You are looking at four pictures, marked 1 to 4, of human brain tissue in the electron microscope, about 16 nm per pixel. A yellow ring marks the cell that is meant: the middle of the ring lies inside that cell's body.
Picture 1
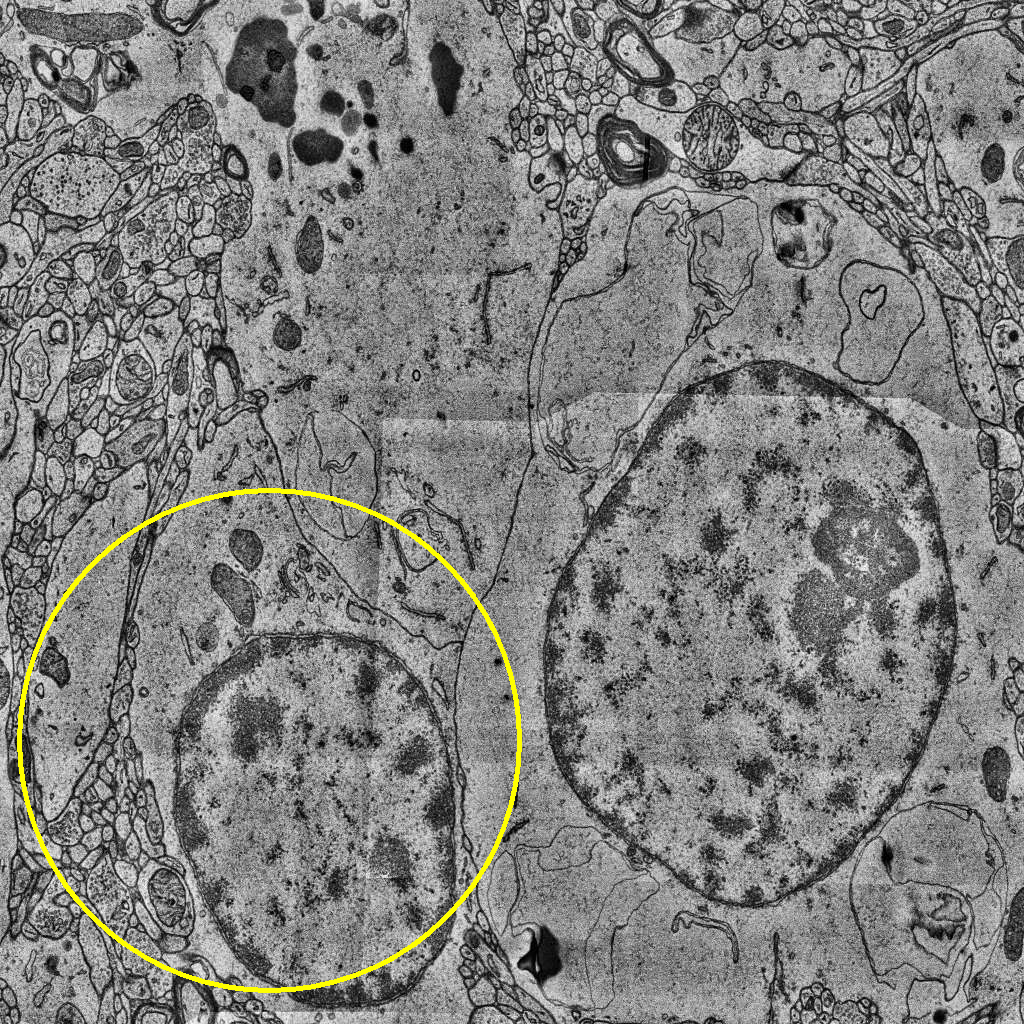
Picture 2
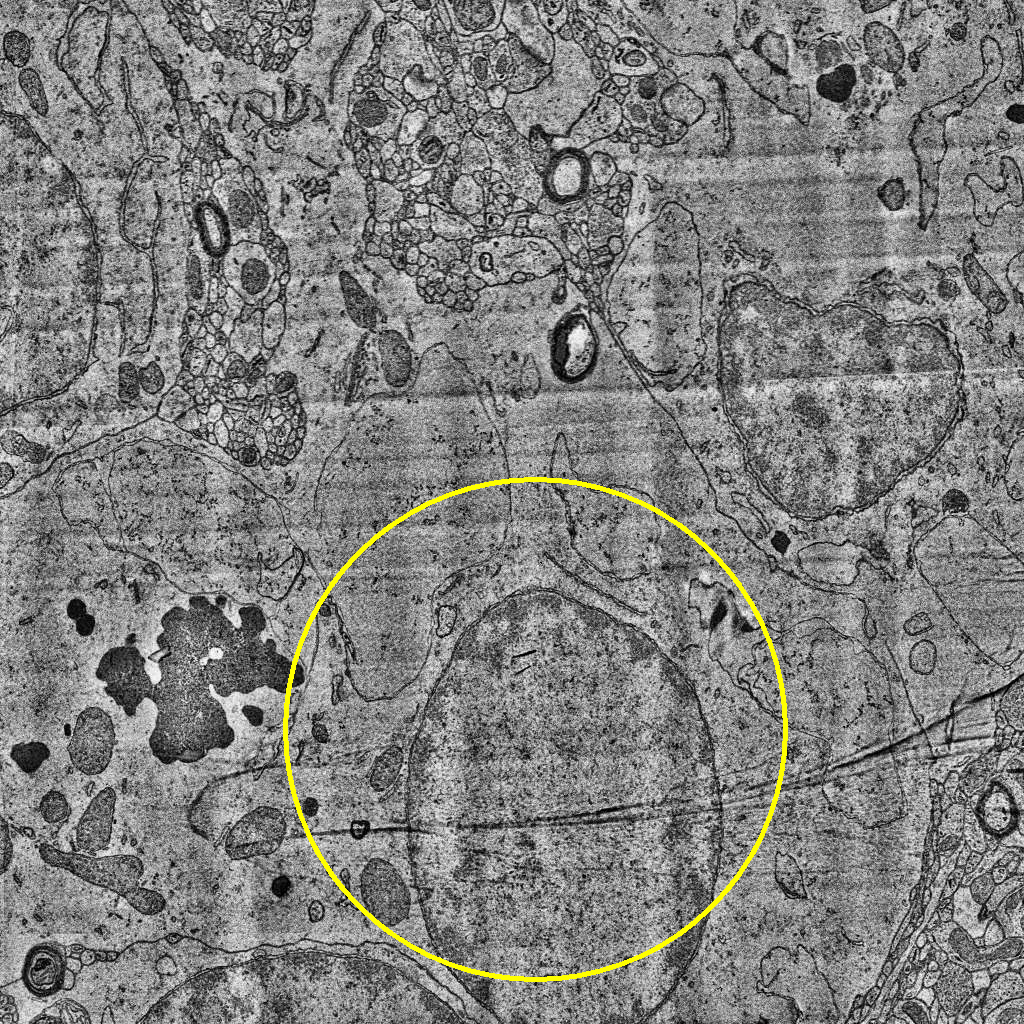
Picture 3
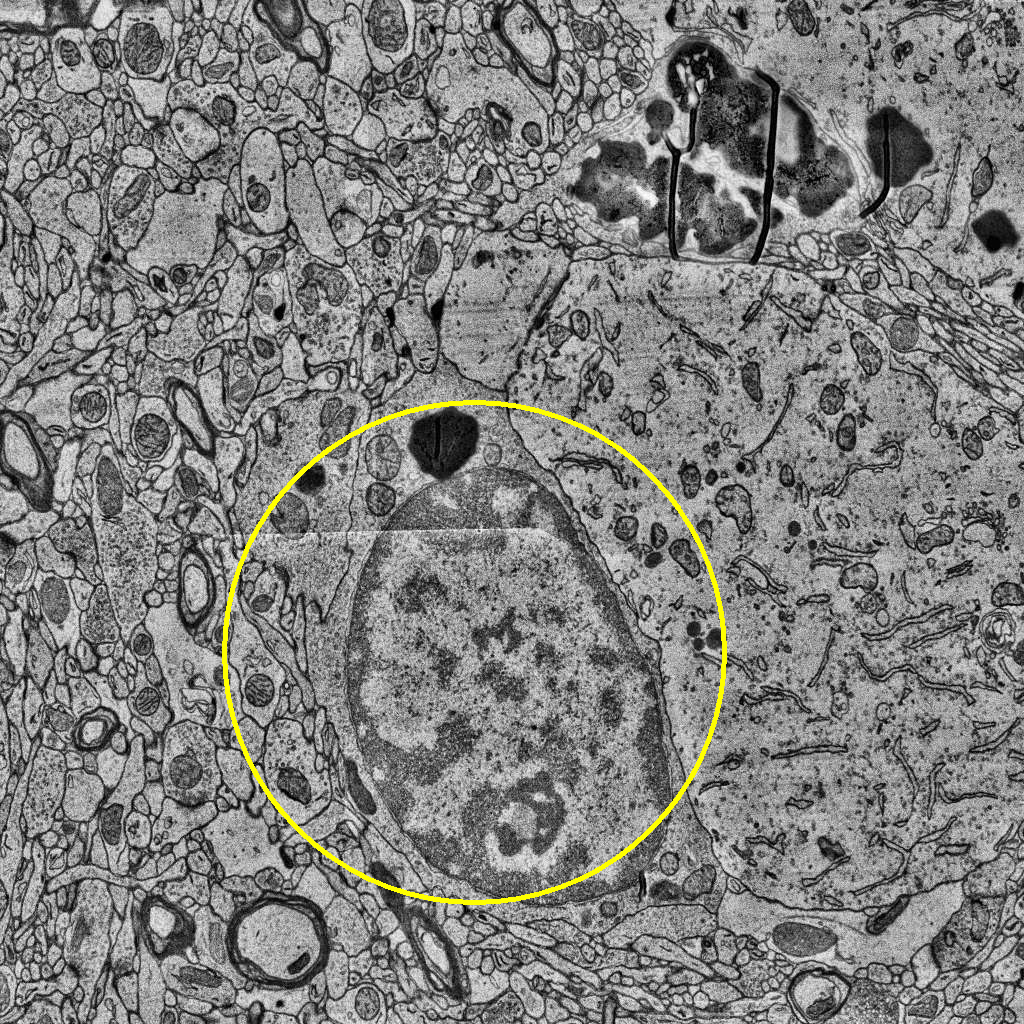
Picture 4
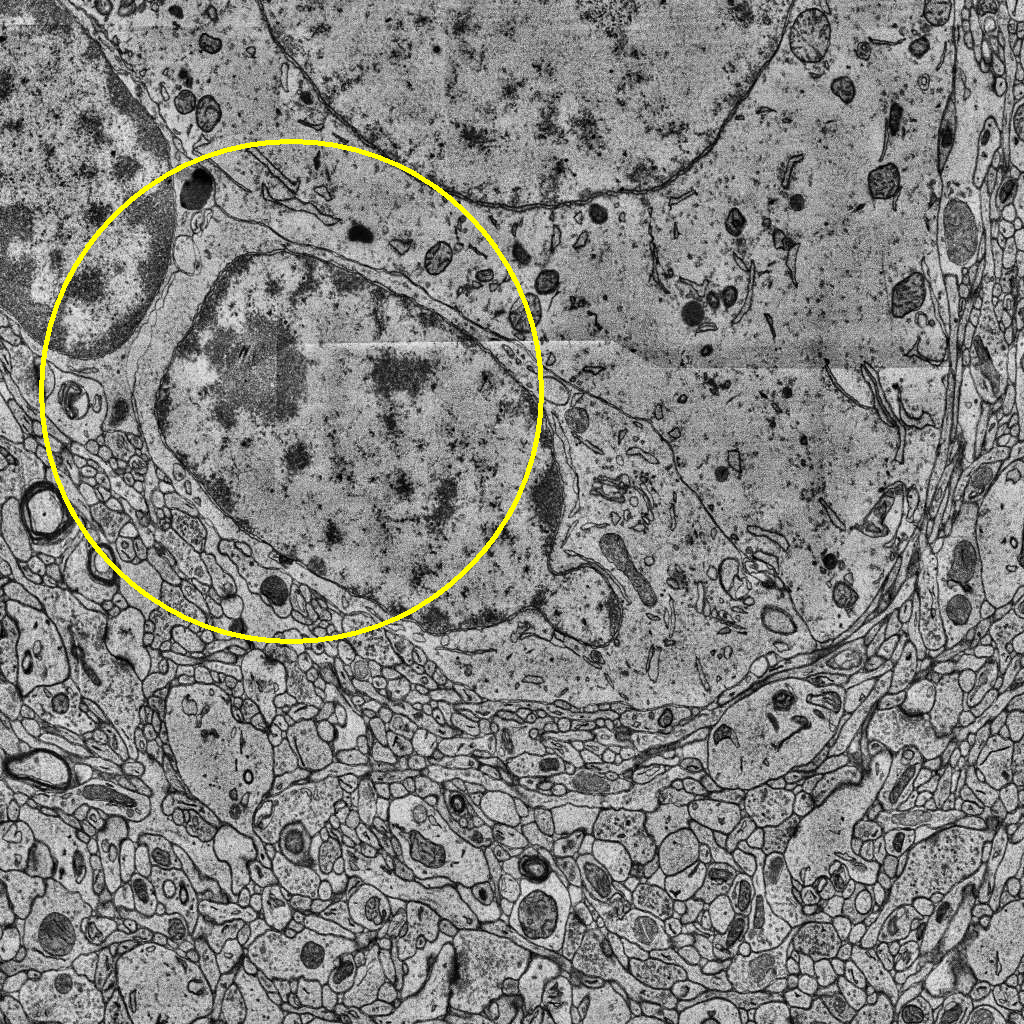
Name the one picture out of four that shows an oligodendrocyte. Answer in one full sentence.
The oligodendrocyte is the one in picture 3.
